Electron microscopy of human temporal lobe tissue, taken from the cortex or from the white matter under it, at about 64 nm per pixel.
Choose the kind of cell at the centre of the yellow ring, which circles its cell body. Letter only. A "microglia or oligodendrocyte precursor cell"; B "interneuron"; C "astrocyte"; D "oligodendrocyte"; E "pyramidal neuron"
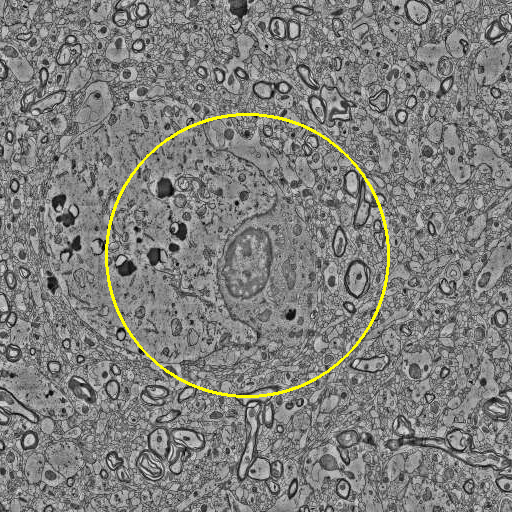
D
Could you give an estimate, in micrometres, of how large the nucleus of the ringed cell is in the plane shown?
Roughly 5 by 3 micrometres is the size of the nucleus in this plane.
